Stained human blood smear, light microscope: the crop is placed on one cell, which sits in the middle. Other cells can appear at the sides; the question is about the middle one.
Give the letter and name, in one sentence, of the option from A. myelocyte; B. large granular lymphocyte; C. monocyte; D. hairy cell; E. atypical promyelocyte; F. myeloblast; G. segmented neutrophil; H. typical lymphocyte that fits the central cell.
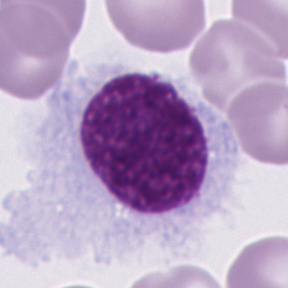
The central cell, a hairy cell, is correctly identified by option D.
